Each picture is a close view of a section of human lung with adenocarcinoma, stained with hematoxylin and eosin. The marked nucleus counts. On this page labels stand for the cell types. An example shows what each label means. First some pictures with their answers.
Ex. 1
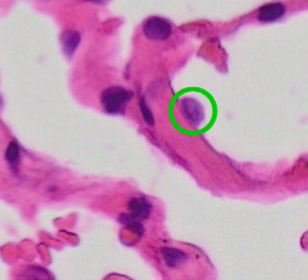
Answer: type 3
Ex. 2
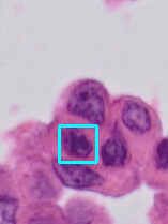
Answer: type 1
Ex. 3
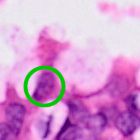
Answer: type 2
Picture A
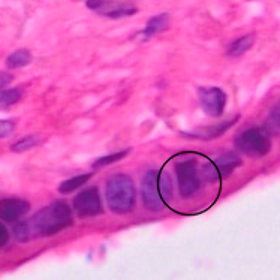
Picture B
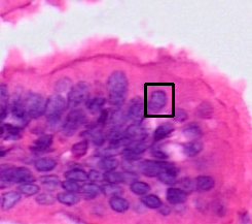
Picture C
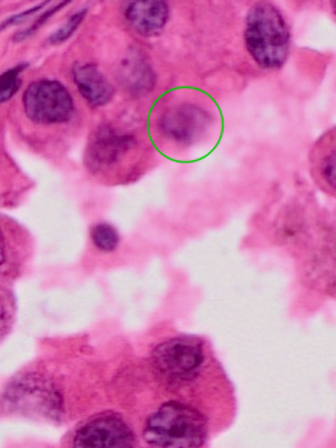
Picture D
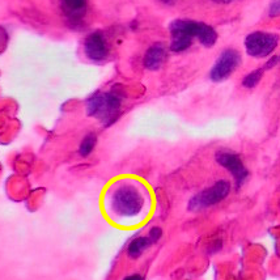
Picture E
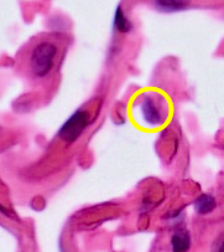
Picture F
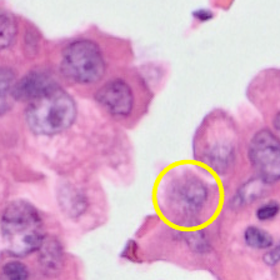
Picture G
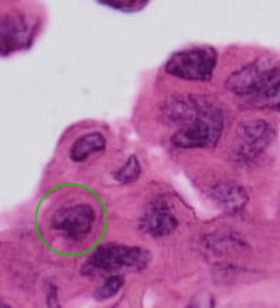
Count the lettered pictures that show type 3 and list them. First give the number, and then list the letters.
Count: 2 (D, E)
